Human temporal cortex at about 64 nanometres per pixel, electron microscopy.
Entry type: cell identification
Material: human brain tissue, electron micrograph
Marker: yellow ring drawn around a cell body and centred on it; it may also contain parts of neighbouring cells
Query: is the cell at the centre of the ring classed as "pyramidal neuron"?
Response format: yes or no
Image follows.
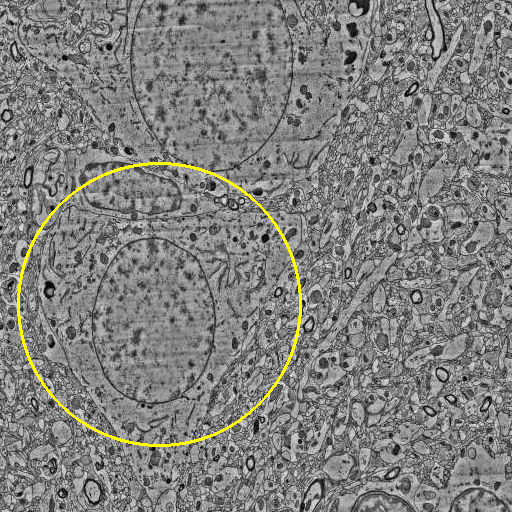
yes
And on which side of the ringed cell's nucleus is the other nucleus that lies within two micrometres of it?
The other nucleus is positioned above it.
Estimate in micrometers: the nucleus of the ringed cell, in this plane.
In this plane, the nucleus is roughly 11 by 8 micrometres.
